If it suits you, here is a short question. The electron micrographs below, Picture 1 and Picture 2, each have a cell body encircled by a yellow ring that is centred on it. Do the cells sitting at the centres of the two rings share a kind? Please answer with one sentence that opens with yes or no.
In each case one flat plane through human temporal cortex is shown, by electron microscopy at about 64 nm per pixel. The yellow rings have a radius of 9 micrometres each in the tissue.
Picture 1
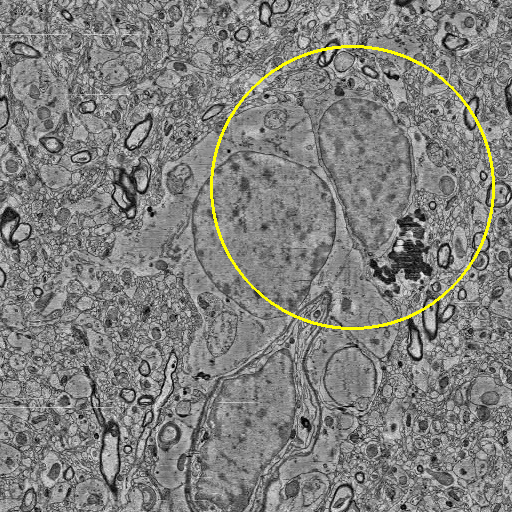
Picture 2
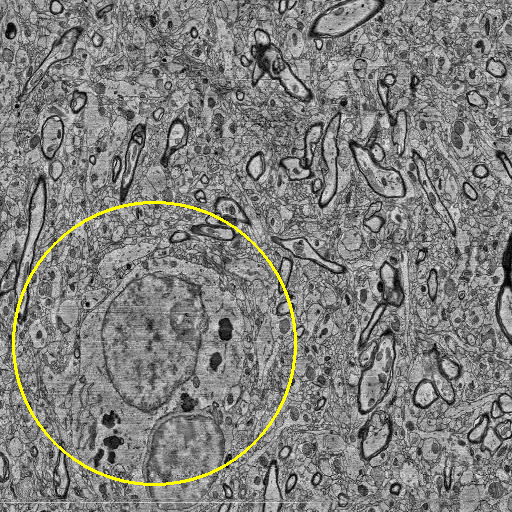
No, the two cells sitting at the ring centres fall into two kinds.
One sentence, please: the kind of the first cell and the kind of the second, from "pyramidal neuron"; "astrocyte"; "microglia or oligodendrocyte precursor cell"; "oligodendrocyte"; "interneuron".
The ring in the first picture surrounds an oligodendrocyte, and the ring in the second surrounds an interneuron.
